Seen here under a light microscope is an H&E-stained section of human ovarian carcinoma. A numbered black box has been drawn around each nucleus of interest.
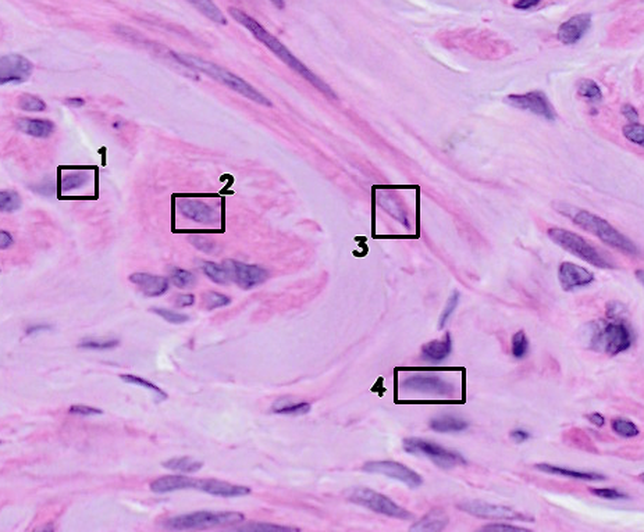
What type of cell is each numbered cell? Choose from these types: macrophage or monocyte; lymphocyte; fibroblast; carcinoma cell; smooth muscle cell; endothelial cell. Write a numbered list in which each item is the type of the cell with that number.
1. smooth muscle cell
2. smooth muscle cell
3. smooth muscle cell
4. fibroblast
